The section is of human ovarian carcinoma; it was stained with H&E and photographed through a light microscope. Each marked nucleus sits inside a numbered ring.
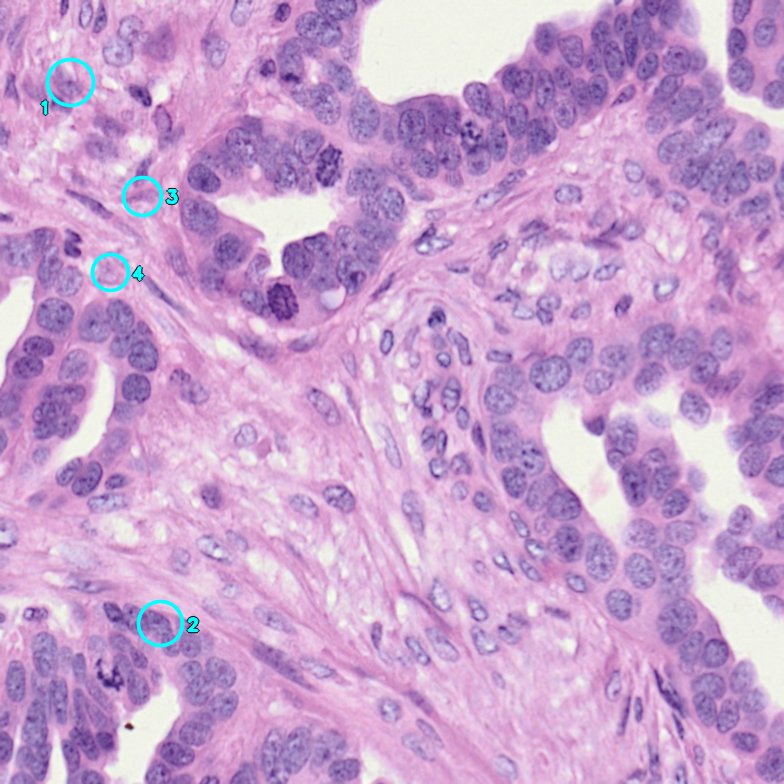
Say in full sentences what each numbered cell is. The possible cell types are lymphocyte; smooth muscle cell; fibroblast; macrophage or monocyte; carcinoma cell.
Cell 1 is a fibroblast, cell 2 is a carcinoma cell, cell 3 is a fibroblast and cell 4 is a fibroblast.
